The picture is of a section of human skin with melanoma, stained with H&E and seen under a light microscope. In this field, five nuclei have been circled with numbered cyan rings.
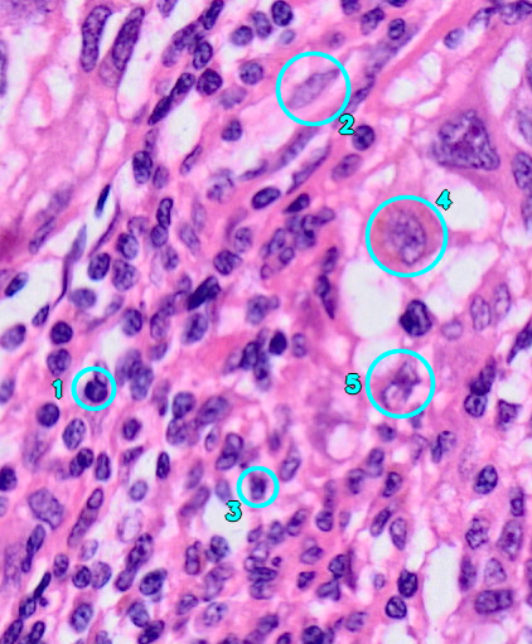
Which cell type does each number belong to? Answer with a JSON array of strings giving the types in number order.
["lymphocyte", "endothelial cell", "lymphocyte", "melanoma cell", "melanoma cell"]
